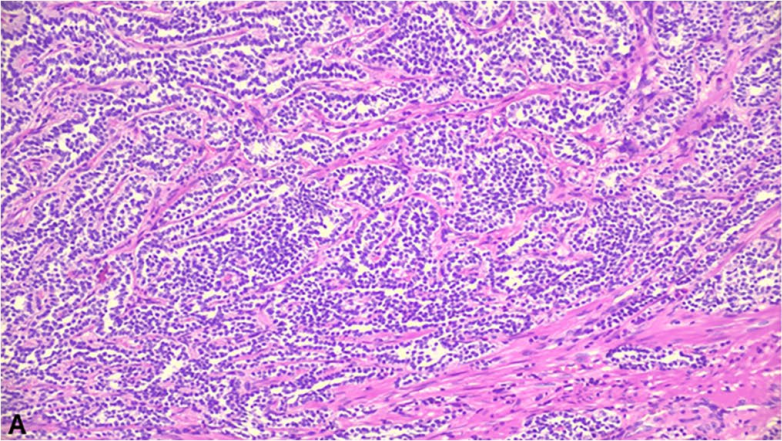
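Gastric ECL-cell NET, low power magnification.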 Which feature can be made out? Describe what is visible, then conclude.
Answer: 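Microlobular and trabecular pattern of growth. Tumor cells form small nests and ribbon-like cords. Thin pink fibrous septa separate the cell groups. Cords are in places arranged around small spaces.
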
